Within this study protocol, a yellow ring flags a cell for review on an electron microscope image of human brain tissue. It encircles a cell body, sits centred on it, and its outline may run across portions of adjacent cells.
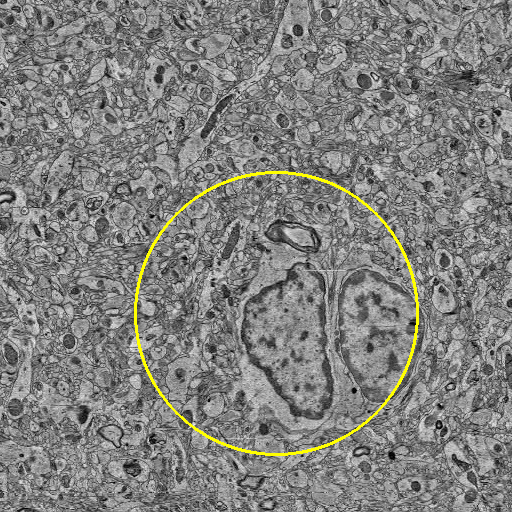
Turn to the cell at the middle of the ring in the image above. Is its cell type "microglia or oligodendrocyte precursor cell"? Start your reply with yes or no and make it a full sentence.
Yes, the cell at the ring's centre in the image above has that cell type.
